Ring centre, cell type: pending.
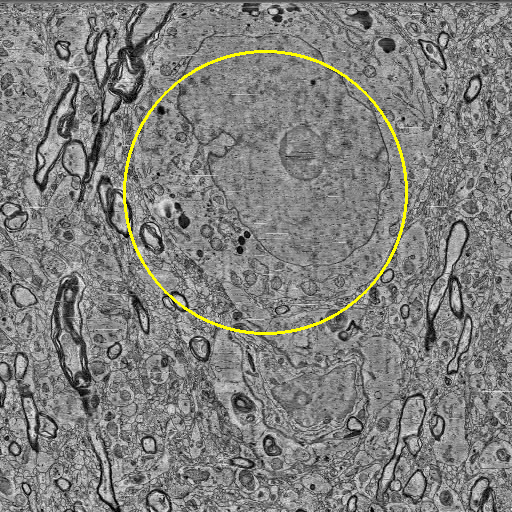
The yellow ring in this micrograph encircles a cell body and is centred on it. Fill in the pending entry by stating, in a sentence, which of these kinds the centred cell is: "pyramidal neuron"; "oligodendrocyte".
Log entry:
The centred cell is recorded as a pyramidal neuron.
